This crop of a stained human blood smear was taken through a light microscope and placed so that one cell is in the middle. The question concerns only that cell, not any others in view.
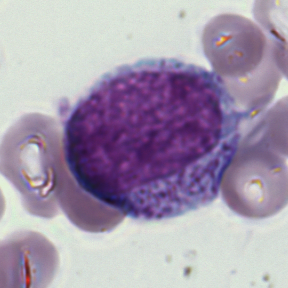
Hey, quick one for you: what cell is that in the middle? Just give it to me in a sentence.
The crop shows a promyelocyte in its centre.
